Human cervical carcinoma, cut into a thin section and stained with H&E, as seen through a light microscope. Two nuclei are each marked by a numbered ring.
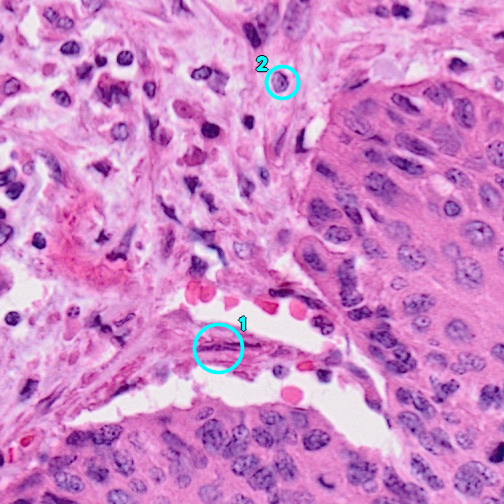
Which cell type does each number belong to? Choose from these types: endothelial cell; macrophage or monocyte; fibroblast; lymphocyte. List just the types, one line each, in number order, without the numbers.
fibroblast
lymphocyte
